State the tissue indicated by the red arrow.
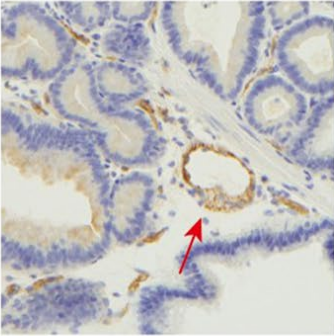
mucosal vascular endothelium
